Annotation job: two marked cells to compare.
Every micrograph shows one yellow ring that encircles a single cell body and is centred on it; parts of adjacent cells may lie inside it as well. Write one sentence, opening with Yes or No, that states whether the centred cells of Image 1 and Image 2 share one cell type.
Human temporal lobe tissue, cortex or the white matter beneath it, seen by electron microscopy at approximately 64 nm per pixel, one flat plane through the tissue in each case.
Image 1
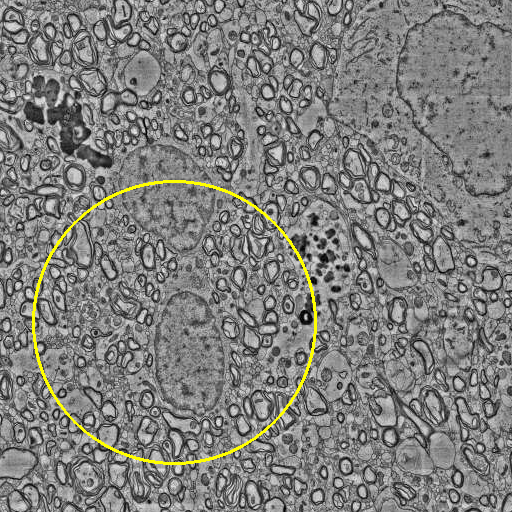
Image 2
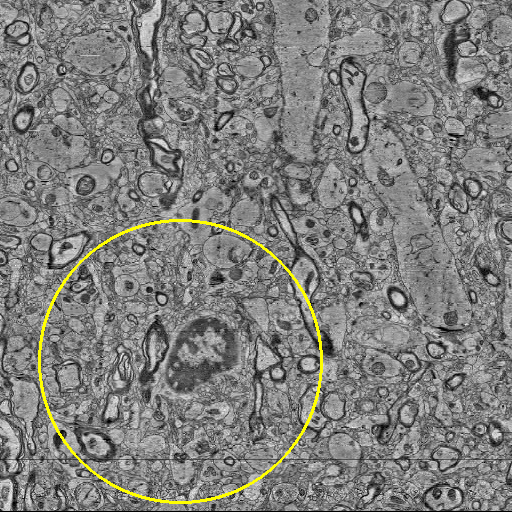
No, the cell centred in Image 1 and the cell centred in Image 2 are of two types.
